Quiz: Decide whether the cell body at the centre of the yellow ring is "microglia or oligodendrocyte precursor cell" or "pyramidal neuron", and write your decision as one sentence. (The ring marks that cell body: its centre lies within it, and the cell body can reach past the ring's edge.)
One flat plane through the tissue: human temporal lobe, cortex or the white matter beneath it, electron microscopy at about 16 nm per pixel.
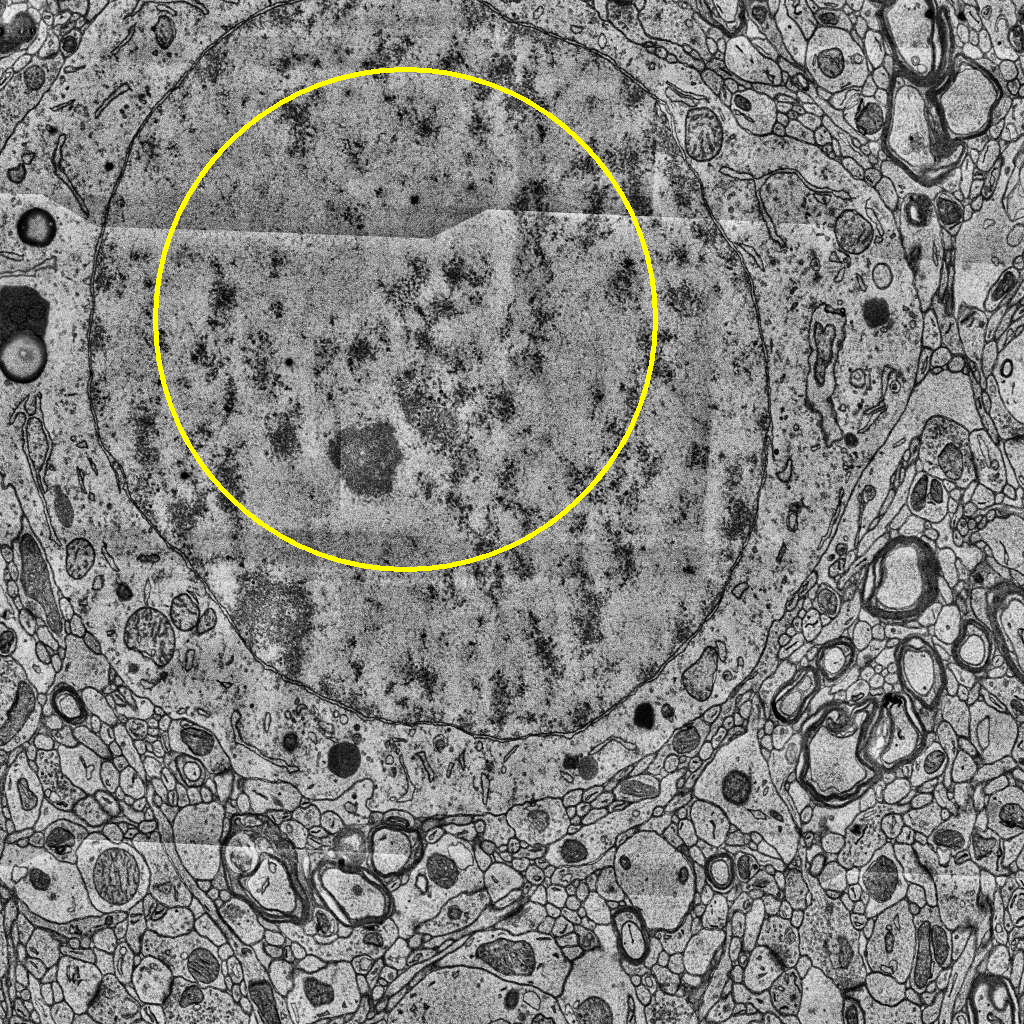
The cell holding the ring's centre is a pyramidal neuron.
